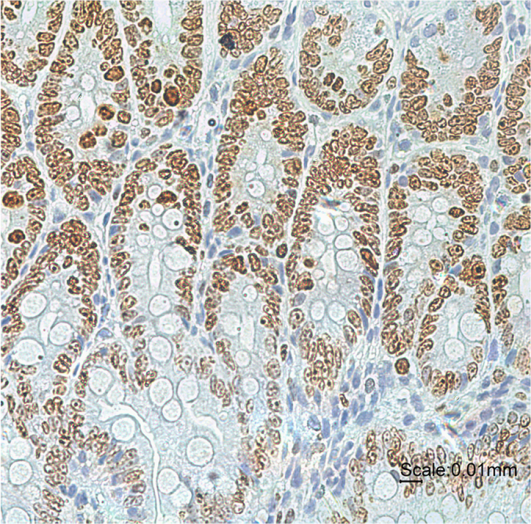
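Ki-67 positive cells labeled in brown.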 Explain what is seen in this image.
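Intestinal mucosa with many crypts cut in various planes, tightly packed and separated by thin strands of stroma. The crypt epithelium consists of columnar cells whose nuclei are mostly brown, densely crowded in rows forming the walls of the crypts. Among them lie pale, clear, rounded goblet-like cells without brown nuclei, gathered especially in the lower part of the field. The stroma between the crypts is pale, with scattered small oval or elongated blue nuclei of connective-tissue cells. The brown nuclei are granular and heavily stained; the unstained nuclei appear pale blue.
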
